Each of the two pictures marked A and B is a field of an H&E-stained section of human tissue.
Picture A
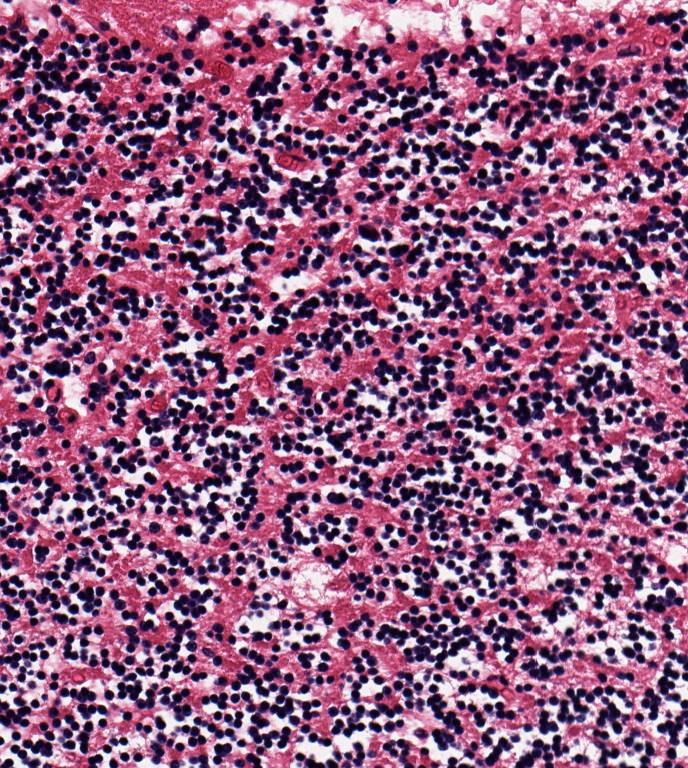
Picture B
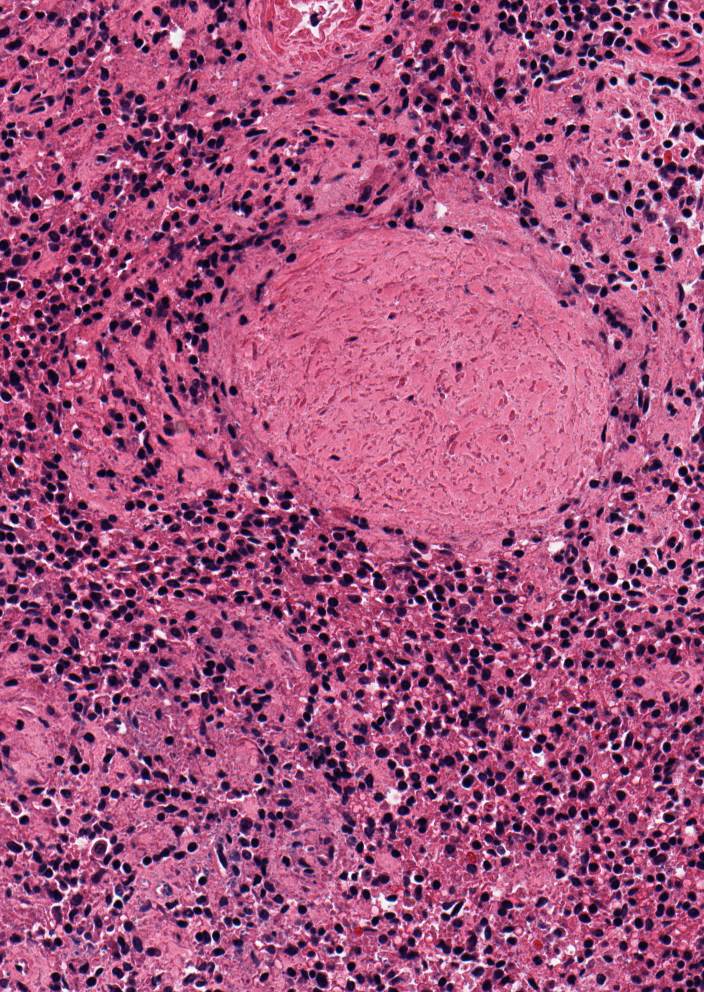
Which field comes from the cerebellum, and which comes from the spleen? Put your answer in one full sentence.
Picture A comes from the cerebellum; picture B comes from the spleen.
